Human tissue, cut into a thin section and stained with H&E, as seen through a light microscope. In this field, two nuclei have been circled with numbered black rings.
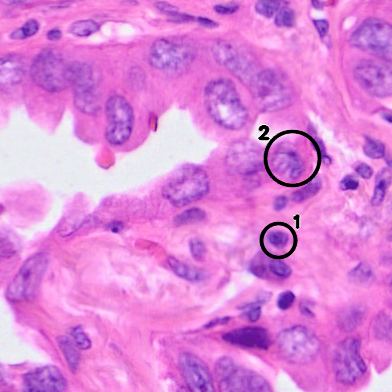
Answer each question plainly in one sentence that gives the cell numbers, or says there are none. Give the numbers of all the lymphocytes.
Cell 1 is a lymphocyte; every other numbered cell is something else.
